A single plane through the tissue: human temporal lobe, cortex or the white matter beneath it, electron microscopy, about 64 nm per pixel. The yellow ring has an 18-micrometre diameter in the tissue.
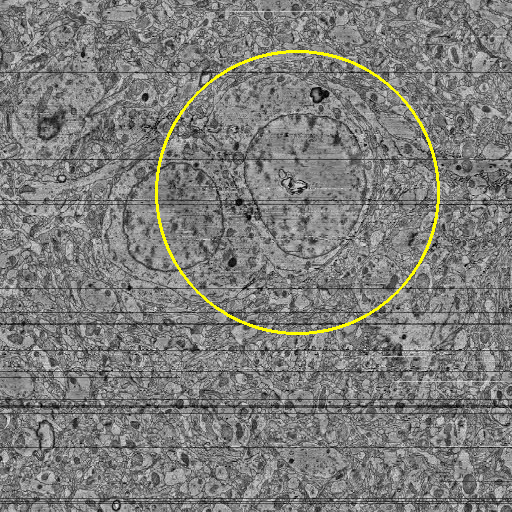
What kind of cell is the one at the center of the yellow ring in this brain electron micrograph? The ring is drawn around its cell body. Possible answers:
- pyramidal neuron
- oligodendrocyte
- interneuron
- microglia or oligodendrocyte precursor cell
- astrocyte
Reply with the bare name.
pyramidal neuron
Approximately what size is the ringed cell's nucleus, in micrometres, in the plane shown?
The nucleus measures about 10 by 8 micrometres in this plane.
